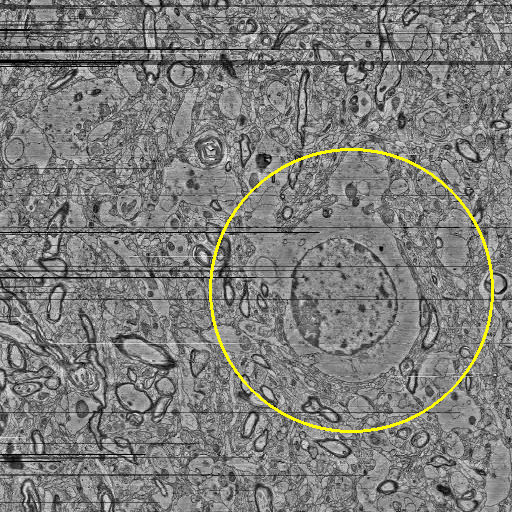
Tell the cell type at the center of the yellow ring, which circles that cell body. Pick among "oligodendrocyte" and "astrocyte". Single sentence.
The ring is centered on the body of an astrocyte.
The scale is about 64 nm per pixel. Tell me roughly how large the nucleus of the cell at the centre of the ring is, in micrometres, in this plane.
In this plane the nucleus is about 8 micrometres by 7.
